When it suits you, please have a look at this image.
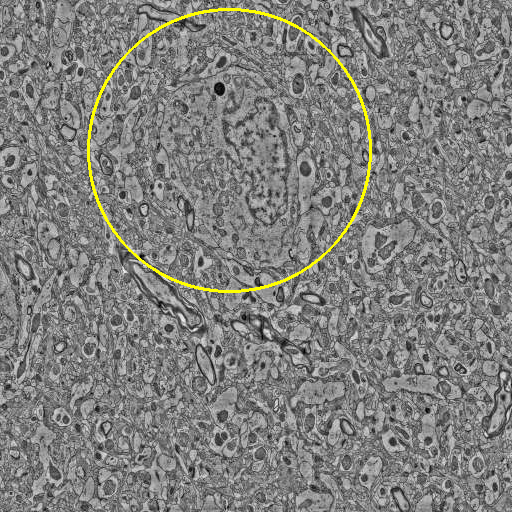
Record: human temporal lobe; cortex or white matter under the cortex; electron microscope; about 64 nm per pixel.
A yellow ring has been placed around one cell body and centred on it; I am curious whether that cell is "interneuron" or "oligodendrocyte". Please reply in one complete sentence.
The ringed cell, an interneuron, has its body at the centre of the yellow ring.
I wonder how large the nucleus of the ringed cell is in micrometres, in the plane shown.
About 8 by 4 micrometers for the nucleus, in this plane.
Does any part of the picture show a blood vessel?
No, no blood vessel shows in the picture.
